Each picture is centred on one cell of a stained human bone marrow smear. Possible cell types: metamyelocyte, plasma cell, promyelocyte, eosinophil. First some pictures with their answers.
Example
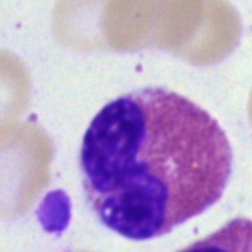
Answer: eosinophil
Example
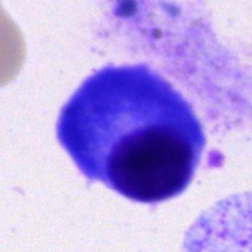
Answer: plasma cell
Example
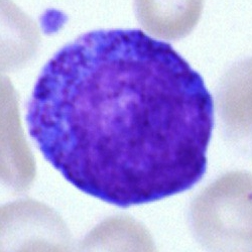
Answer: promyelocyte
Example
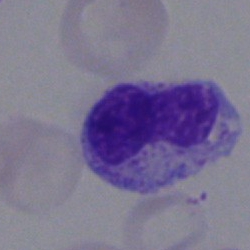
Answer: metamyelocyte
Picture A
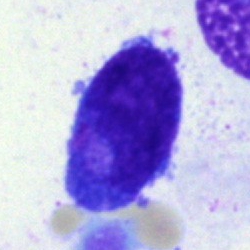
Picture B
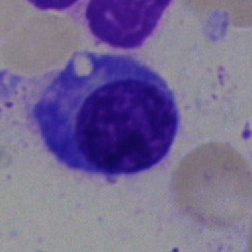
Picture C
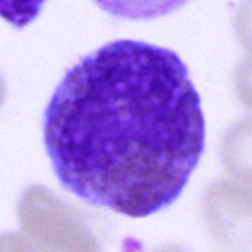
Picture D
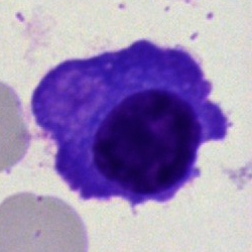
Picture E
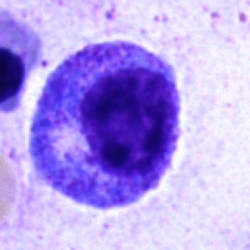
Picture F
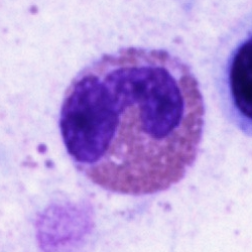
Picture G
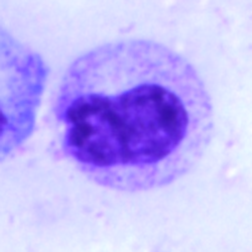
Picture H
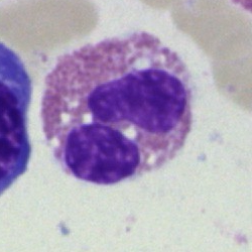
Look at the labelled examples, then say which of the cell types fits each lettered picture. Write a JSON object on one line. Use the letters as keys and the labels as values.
{"A": "promyelocyte", "B": "plasma cell", "C": "eosinophil", "D": "plasma cell", "E": "promyelocyte", "F": "eosinophil", "G": "metamyelocyte", "H": "eosinophil"}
